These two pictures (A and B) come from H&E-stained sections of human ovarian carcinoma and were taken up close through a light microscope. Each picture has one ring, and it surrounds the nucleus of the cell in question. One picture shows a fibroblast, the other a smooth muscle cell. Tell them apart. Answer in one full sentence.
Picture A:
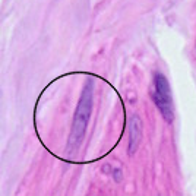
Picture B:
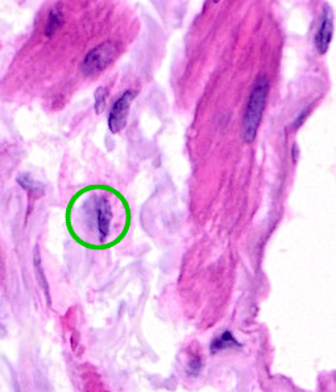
The cell in picture A is a smooth muscle cell, and the one in picture B is a fibroblast.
